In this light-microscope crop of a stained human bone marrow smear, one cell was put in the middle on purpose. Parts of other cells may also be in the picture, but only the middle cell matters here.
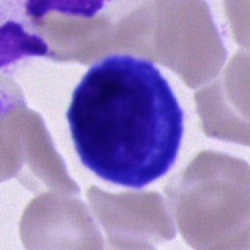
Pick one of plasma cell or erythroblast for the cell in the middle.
plasma cell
